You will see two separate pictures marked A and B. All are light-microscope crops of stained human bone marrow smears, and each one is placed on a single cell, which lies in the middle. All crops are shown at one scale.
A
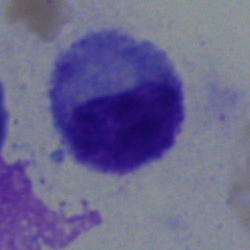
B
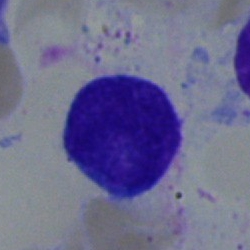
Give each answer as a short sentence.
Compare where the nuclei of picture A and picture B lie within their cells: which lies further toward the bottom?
Seen within its cell, the nucleus in picture A lies further toward the bottom.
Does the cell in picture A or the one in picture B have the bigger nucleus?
The nucleus in picture B is larger, with about 1.5 times the area of the one in picture A.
